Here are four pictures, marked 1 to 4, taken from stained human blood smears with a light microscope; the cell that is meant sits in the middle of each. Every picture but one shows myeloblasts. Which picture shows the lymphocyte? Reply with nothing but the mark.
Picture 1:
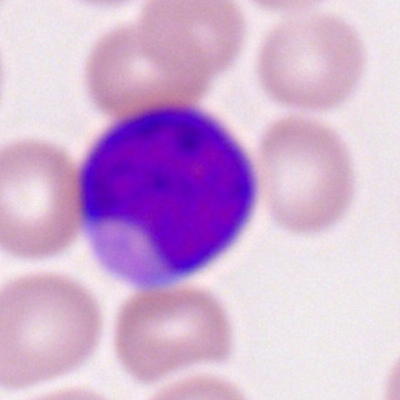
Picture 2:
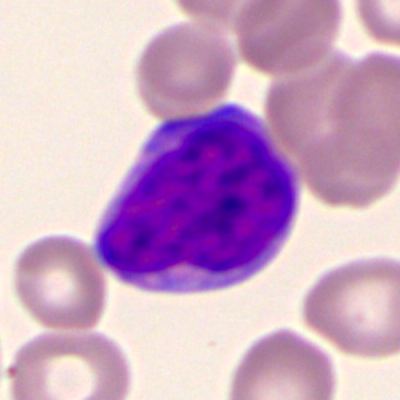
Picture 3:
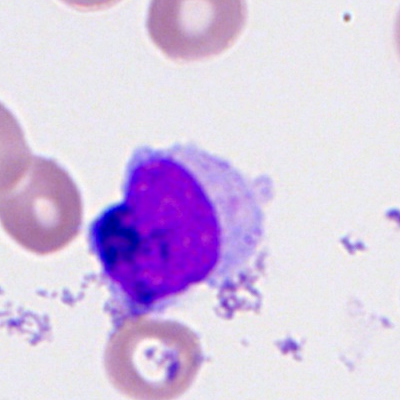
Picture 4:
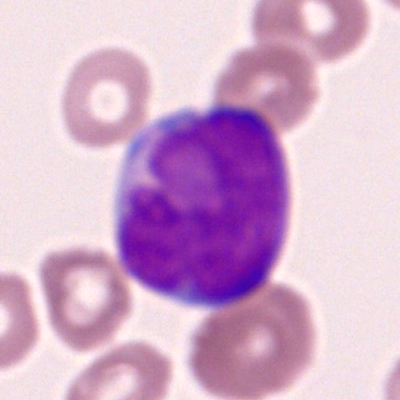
3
